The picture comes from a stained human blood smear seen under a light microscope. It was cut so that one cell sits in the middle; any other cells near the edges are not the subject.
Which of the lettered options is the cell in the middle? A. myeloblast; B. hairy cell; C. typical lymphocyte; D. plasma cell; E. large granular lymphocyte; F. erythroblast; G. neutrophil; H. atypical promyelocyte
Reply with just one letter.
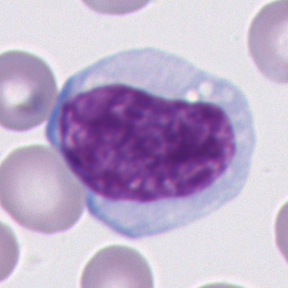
A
